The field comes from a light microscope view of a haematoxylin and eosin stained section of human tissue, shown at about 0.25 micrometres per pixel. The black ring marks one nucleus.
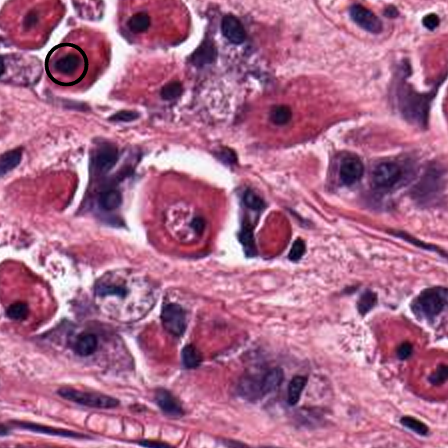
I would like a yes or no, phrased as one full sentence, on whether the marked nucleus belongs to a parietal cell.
Yes, within this field the marked nucleus is that of a parietal cell.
